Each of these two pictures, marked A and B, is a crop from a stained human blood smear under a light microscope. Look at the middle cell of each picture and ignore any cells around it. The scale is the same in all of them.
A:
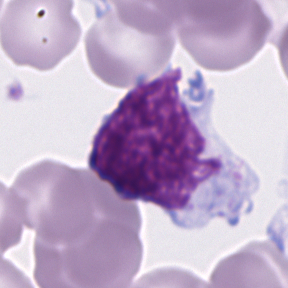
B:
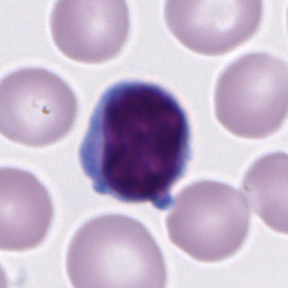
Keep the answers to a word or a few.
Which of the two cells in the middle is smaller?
B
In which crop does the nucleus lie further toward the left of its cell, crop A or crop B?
A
